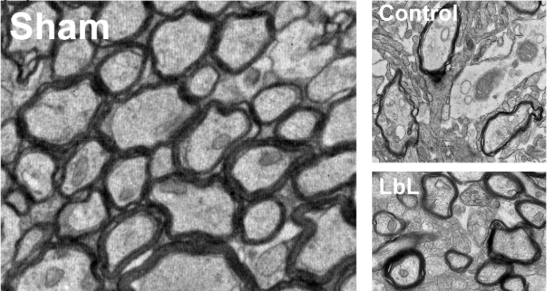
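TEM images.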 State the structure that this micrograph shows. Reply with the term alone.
Axon.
